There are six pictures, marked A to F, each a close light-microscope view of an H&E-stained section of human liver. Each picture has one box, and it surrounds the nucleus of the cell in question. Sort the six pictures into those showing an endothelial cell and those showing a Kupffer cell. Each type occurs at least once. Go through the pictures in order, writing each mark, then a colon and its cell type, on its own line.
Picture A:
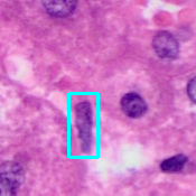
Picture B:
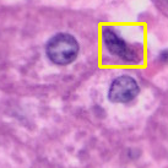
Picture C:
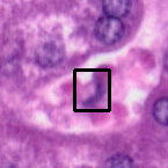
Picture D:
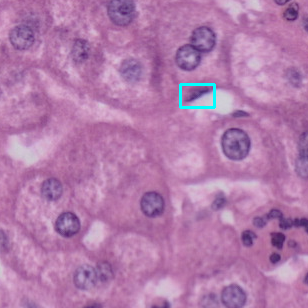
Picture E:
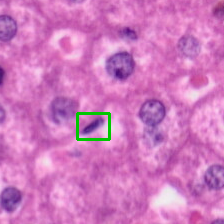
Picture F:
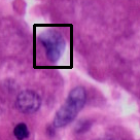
A: Kupffer cell
B: Kupffer cell
C: Kupffer cell
D: endothelial cell
E: endothelial cell
F: endothelial cell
